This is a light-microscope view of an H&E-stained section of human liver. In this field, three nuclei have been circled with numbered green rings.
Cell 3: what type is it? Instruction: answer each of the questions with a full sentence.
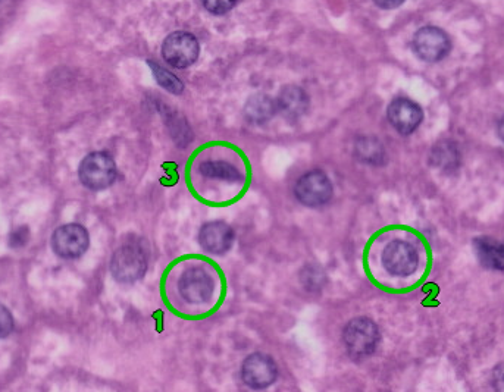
The cell marked with the number 3 is a fibroblast or stellate cell.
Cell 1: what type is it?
The cell pointed out as number 1 is a hepatocyte.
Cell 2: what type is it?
Cell 2 should be recorded as a hepatocyte.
